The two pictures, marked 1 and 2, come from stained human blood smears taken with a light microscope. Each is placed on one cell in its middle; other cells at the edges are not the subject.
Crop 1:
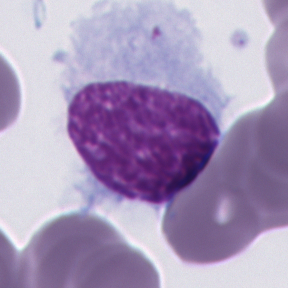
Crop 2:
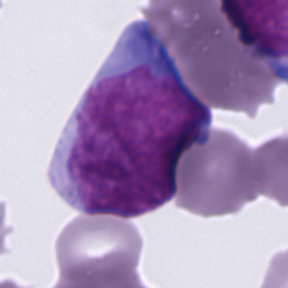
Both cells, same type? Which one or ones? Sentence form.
No, a hairy cell is in crop 1, and a myeloblast is in crop 2.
